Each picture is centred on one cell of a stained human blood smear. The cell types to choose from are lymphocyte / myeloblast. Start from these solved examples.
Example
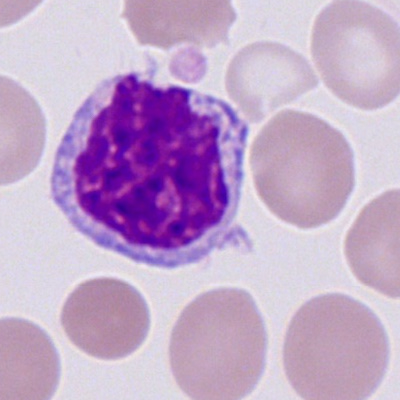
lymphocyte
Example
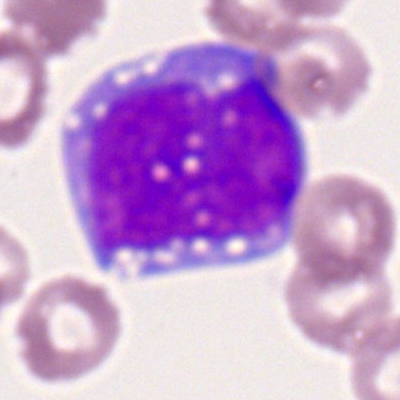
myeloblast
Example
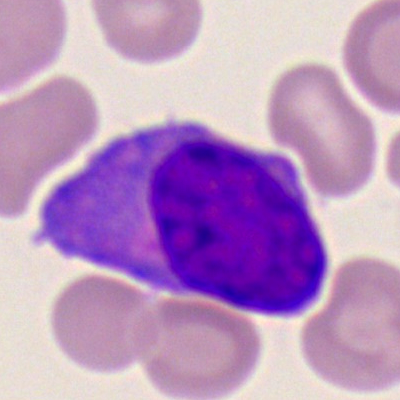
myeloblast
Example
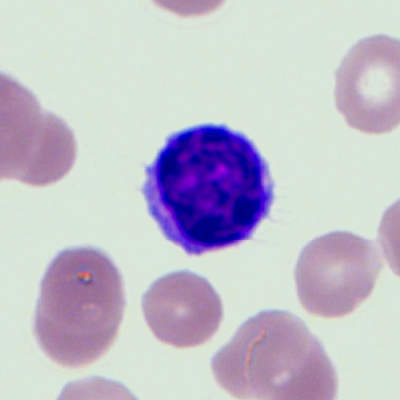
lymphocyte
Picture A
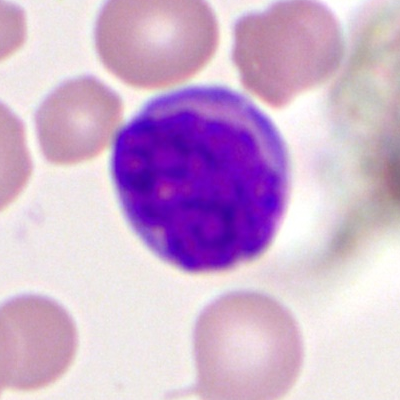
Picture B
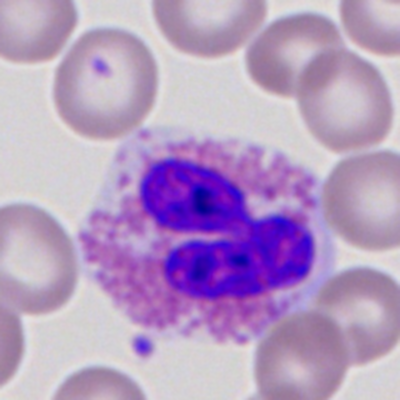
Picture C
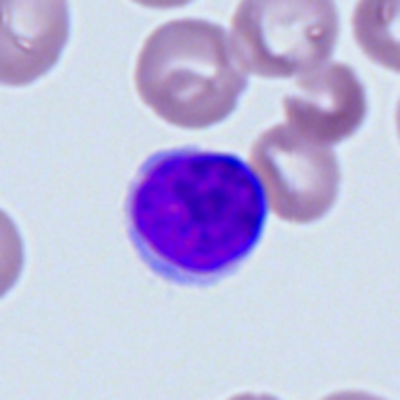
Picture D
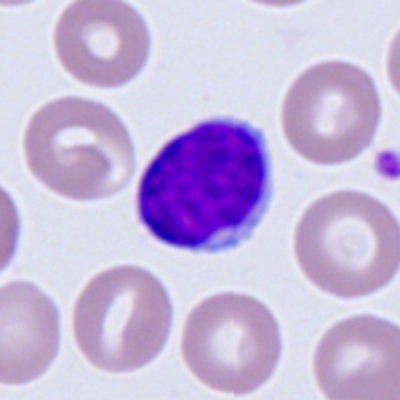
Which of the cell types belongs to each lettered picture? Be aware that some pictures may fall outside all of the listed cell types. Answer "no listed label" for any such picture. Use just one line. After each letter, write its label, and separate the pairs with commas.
A lymphocyte, B no listed label, C lymphocyte, D lymphocyte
